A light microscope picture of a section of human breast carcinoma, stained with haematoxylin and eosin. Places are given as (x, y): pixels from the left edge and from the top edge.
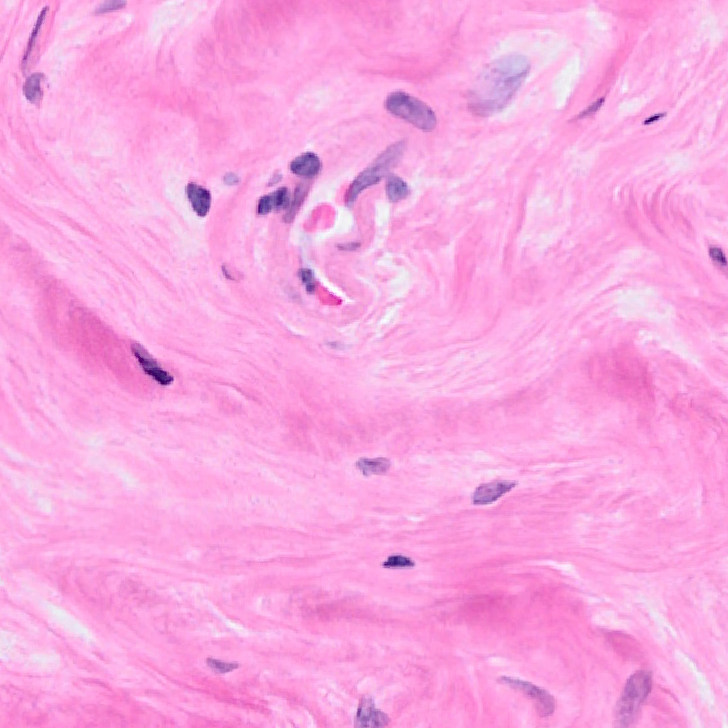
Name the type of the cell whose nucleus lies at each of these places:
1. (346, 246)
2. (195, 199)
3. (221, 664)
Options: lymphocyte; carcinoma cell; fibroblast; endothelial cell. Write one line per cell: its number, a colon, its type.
1: endothelial cell
2: lymphocyte
3: fibroblast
